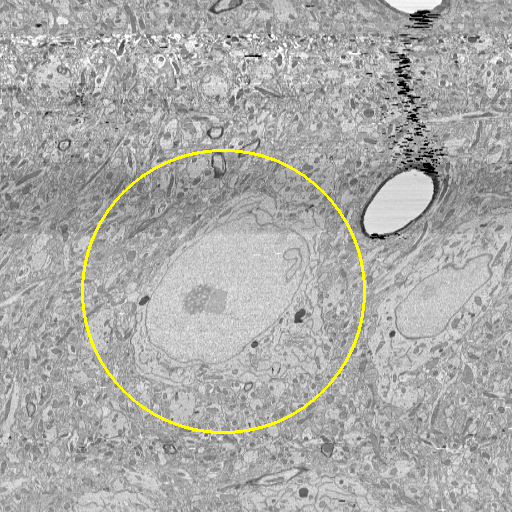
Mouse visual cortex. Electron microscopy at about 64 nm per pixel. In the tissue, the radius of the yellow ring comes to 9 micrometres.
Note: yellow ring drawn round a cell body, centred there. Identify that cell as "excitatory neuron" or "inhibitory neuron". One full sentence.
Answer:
The cell in the middle of the ring is an inhibitory neuron.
